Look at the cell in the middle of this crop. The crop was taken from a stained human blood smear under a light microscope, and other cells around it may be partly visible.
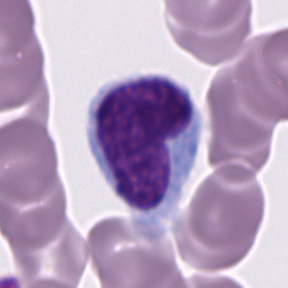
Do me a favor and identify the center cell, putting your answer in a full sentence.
The cell the crop is centered on is a monocyte.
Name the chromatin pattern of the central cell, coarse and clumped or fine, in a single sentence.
Take a look at the chromatin, which is coarsely clumped.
